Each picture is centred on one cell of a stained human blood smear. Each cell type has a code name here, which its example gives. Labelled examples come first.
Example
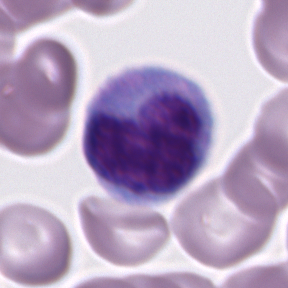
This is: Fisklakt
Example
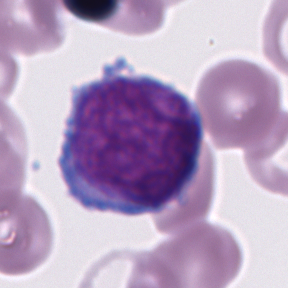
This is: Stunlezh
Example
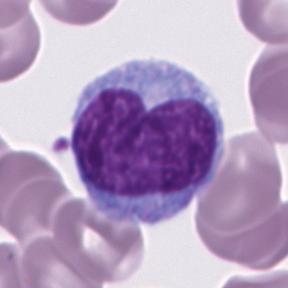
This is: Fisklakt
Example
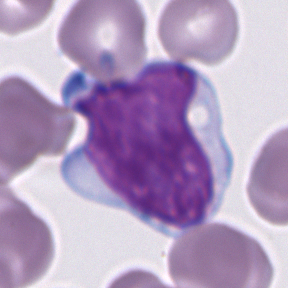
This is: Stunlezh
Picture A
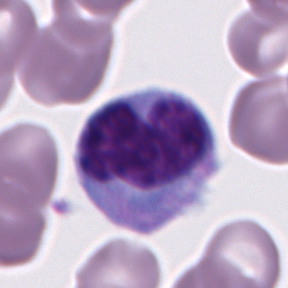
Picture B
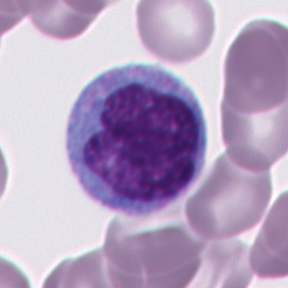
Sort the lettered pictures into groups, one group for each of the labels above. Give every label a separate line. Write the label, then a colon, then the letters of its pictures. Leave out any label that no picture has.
Fisklakt: A, B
